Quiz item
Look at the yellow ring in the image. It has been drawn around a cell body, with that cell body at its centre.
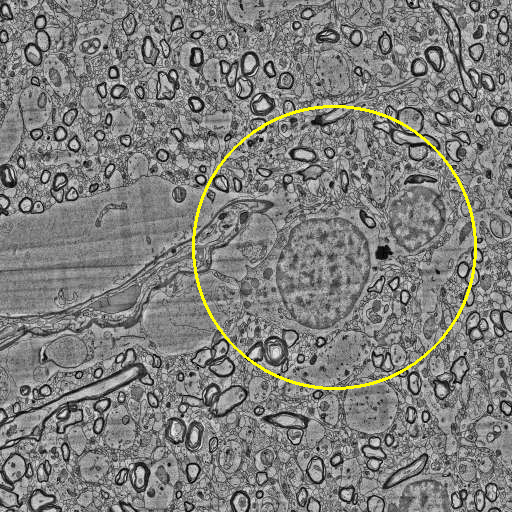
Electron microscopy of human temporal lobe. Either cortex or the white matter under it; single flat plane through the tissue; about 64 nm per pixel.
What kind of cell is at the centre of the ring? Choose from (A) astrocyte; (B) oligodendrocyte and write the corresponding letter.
B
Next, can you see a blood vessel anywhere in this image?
Yes, there is one.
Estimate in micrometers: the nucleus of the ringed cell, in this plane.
About 7 micrometres by about 6 micrometres in this plane.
